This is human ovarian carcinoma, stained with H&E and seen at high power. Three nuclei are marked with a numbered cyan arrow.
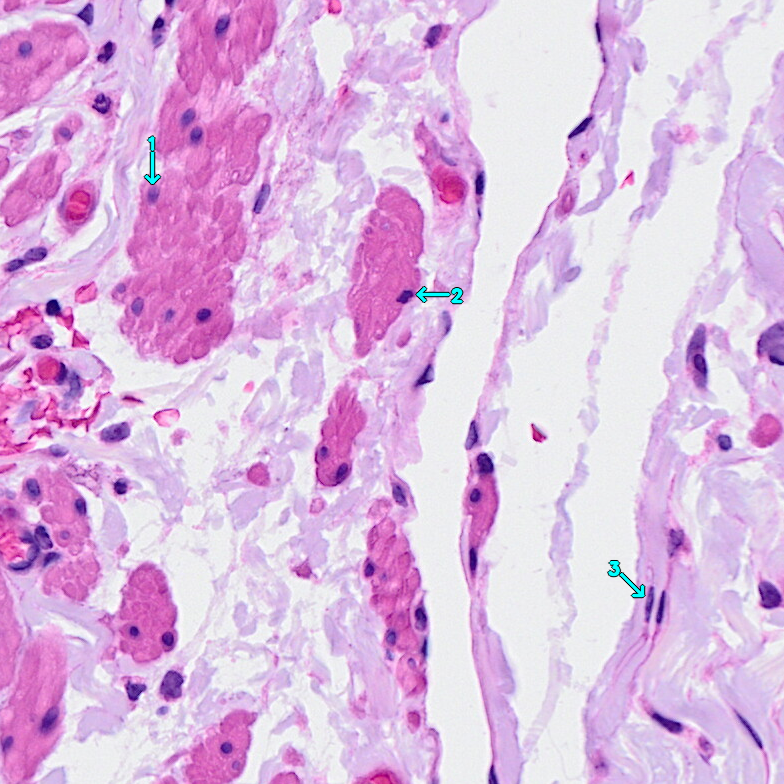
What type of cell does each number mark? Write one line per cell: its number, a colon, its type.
1: smooth muscle cell
2: smooth muscle cell
3: fibroblast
